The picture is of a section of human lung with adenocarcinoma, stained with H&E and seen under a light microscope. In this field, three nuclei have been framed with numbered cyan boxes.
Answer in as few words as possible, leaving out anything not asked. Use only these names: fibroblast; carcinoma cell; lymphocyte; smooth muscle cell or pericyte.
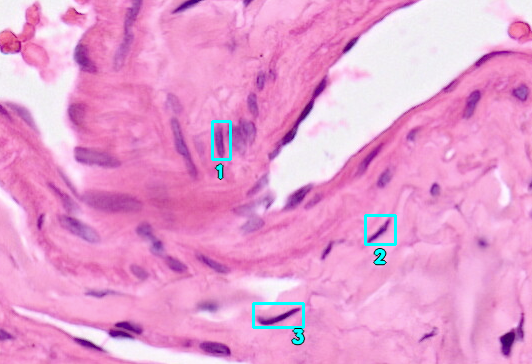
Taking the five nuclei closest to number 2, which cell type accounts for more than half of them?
smooth muscle cell or pericyte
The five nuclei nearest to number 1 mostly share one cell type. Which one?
smooth muscle cell or pericyte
